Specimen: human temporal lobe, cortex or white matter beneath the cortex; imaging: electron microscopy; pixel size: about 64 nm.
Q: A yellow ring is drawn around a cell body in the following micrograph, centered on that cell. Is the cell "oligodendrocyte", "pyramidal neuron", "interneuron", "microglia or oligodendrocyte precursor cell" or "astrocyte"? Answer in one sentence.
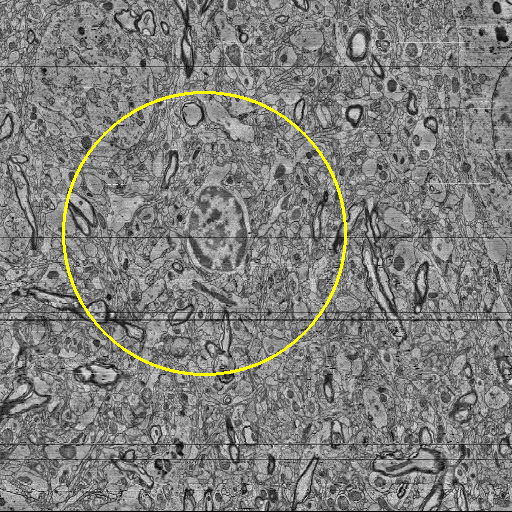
The cell in the center of the ring is a microglial cell or oligodendrocyte precursor cell.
